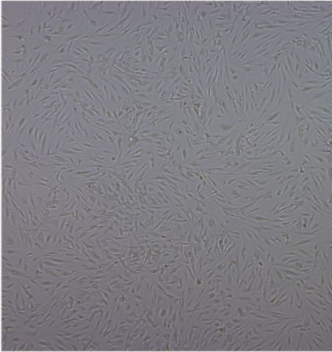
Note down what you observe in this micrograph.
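A dense adherent monolayer of slender, spindle-shaped cells with long tapering ends, lying side by side in parallel bundles that sweep in gentle whorls across the dish. There are no cobblestone sheets, and the shapes and streaming arrangement are those of cultured fibroblasts.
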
